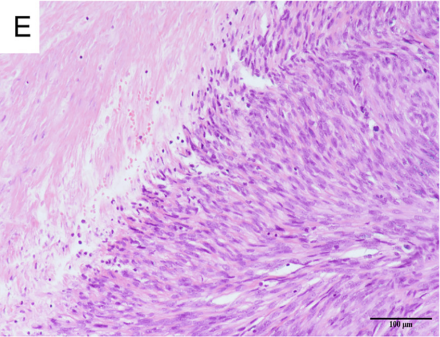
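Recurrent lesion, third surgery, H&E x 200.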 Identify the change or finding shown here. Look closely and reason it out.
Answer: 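Coagulative tumor cell necrosis. Abrupt transition from the pale area to viable spindle cells on the right.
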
